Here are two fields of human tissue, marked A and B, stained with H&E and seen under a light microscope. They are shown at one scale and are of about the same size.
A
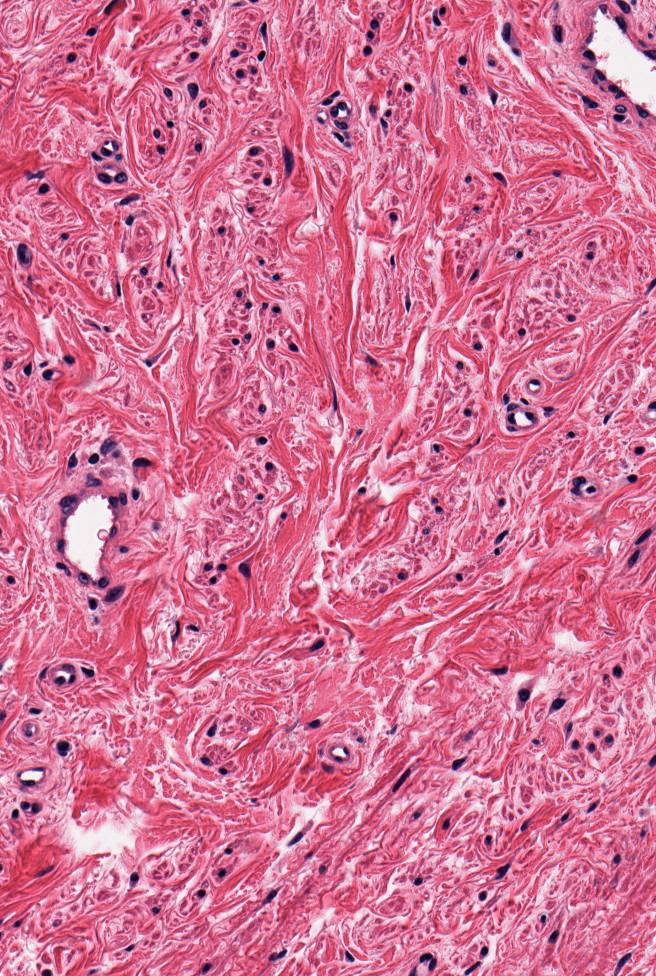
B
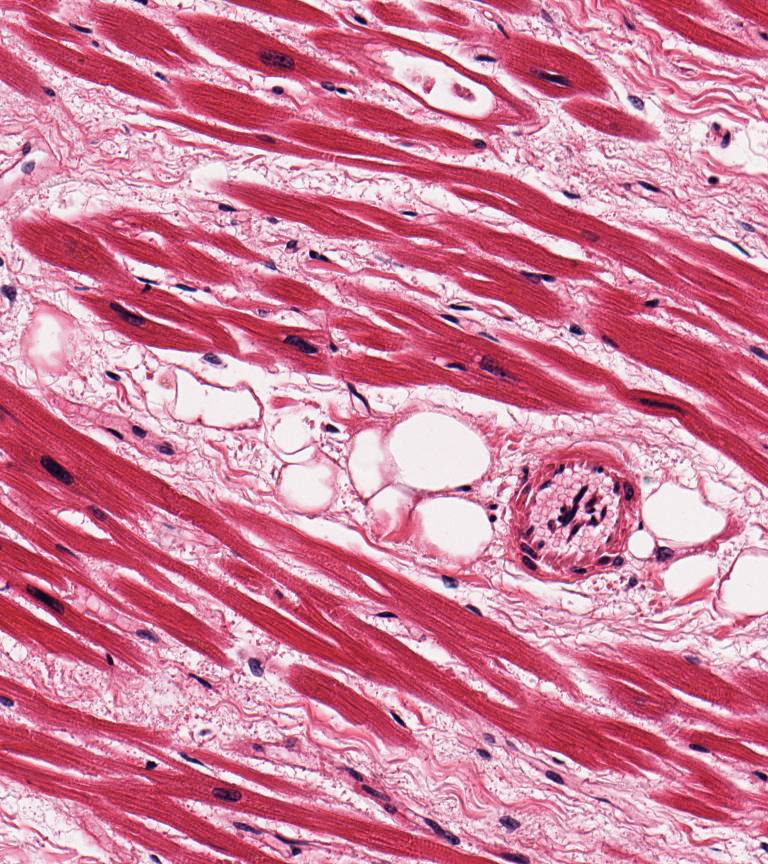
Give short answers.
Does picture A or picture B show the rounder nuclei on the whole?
A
